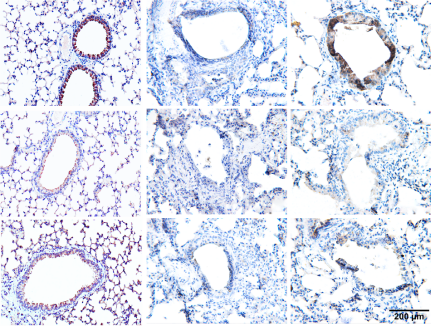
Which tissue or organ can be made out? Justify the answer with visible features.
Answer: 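Lung tissue. Thin-walled air spaces form a lace-like network around larger lumens. Round airway cross-sections are lined by a continuous layer of epithelial cells. Blue-counterstained nuclei are scattered through the thin alveolar walls.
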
